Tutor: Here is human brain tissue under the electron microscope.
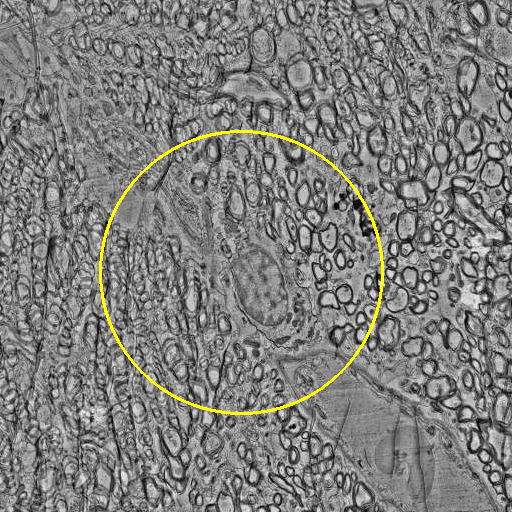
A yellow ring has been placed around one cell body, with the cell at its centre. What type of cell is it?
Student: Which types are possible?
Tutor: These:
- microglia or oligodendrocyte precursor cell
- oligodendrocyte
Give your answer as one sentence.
What the ring picks out here is an oligodendrocyte.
